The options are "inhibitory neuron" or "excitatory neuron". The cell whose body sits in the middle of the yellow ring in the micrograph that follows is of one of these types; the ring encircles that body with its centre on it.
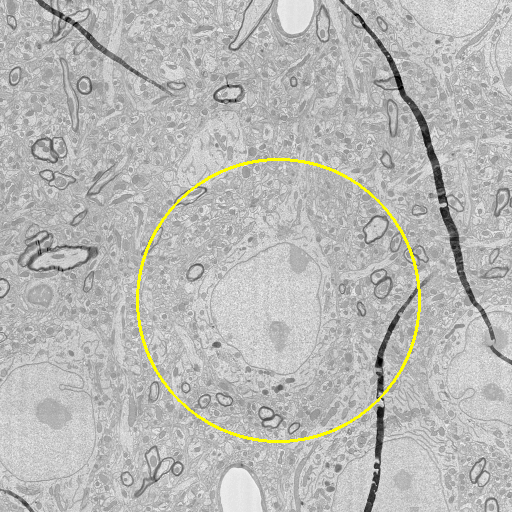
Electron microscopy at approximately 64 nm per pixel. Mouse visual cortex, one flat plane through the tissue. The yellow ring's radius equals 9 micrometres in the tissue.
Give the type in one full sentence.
Going by the micrograph, the cell centred in the yellow ring is an excitatory neuron.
